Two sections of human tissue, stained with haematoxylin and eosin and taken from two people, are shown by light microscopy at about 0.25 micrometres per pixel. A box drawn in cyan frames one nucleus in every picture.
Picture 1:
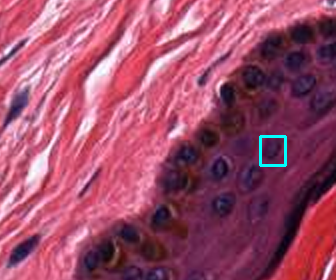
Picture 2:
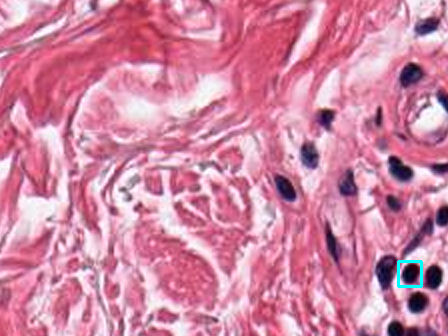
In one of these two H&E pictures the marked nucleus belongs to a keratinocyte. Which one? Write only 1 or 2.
1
